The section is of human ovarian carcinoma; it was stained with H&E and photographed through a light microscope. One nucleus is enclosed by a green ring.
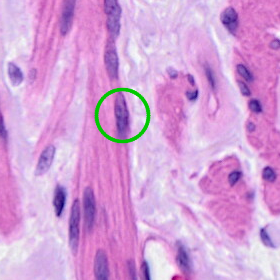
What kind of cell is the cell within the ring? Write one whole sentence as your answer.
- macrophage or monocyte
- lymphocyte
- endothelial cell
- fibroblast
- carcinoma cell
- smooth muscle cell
This is a smooth muscle cell.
